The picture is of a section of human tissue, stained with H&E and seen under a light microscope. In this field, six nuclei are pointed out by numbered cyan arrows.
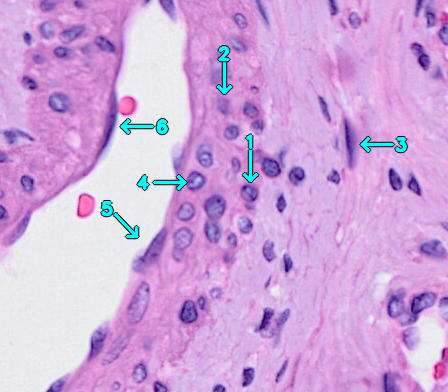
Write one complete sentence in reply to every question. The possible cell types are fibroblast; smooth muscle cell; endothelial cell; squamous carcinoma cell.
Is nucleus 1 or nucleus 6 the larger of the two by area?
The larger nucleus is 6, at roughly 3 times the area of 1.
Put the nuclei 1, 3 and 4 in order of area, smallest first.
The order from the smallest nucleus to the largest is 1, 4, 3.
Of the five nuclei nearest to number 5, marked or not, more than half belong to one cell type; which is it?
Around number 5, most of the five nearest nuclei are those of smooth muscle cells.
